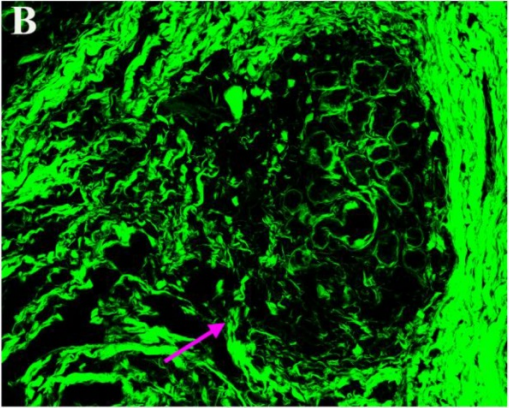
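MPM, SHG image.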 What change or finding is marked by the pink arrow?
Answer: broken collagen fibers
